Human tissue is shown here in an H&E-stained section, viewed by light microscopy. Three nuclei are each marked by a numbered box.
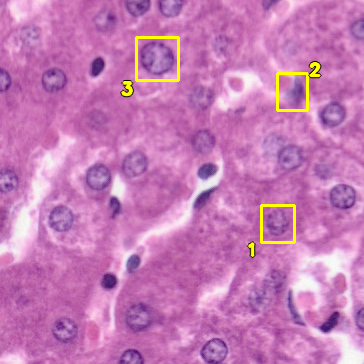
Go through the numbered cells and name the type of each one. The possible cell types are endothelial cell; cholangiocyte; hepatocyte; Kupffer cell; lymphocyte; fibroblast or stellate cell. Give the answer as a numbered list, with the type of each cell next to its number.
1. hepatocyte
2. endothelial cell
3. hepatocyte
